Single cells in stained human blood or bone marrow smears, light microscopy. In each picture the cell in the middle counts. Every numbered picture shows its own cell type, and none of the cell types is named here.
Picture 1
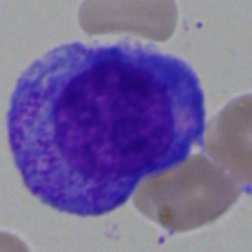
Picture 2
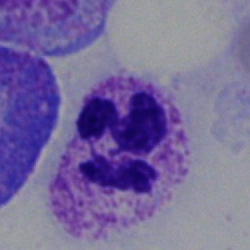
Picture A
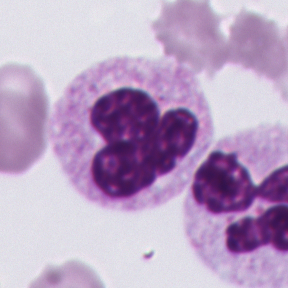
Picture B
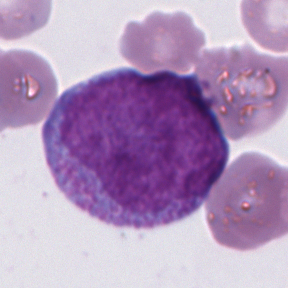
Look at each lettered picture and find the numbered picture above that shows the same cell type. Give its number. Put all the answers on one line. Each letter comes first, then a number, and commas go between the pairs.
A 2, B 1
